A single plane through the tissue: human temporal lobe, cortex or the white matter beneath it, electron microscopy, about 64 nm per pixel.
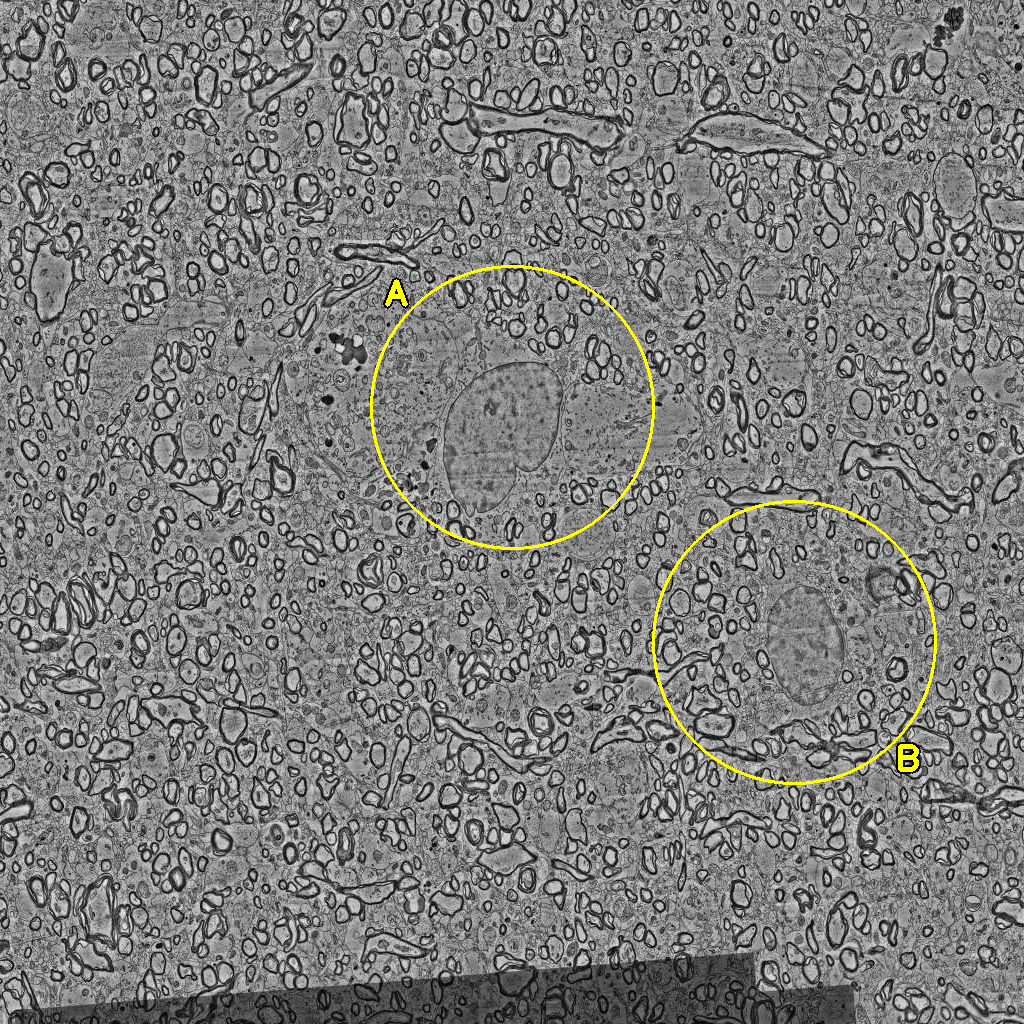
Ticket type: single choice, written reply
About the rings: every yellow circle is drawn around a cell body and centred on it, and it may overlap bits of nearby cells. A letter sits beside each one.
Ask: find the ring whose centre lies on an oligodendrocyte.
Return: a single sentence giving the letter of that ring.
At the centre of the ring marked B lies the cell asked for.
